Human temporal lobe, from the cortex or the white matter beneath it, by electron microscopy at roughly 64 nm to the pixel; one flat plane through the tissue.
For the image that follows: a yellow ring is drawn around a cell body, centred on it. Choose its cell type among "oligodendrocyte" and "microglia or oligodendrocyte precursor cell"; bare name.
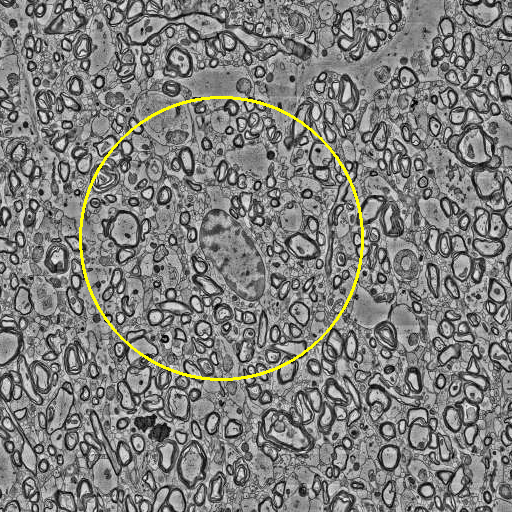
microglia or oligodendrocyte precursor cell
